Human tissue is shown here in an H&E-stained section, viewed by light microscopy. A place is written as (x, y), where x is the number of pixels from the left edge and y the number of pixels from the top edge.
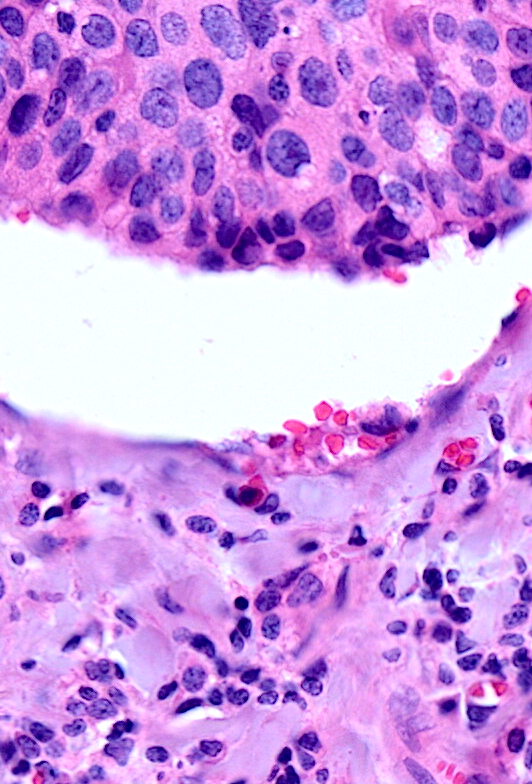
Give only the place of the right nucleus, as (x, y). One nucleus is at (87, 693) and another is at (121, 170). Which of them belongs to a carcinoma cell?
(121, 170)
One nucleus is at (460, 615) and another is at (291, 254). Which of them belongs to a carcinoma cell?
(291, 254)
